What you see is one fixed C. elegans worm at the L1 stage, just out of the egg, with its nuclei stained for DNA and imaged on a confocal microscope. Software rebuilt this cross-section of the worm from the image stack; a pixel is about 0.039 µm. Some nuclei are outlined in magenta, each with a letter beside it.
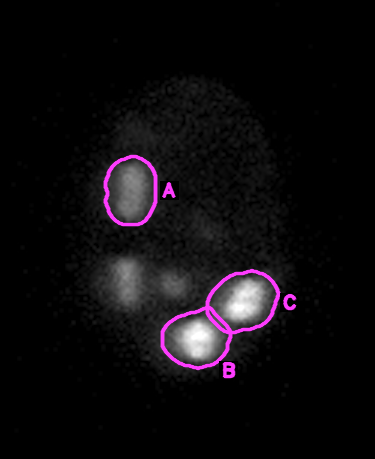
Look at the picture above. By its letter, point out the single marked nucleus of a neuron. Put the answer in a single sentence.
Nucleus B belongs to a neuron.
